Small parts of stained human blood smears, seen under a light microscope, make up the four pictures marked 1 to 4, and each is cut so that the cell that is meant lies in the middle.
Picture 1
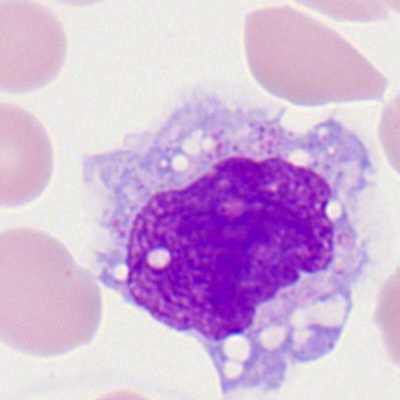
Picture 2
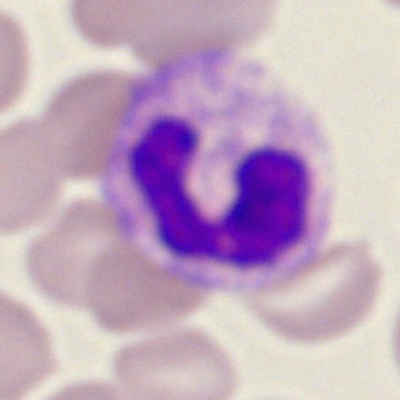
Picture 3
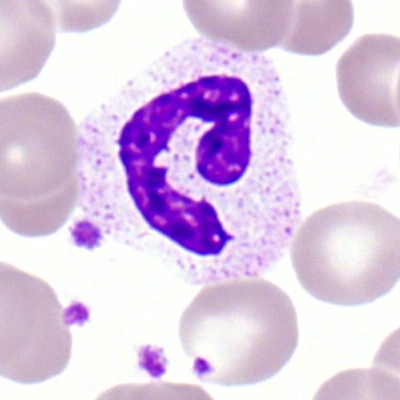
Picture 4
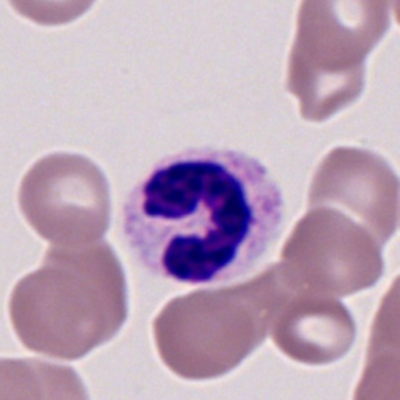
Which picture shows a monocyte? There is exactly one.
1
